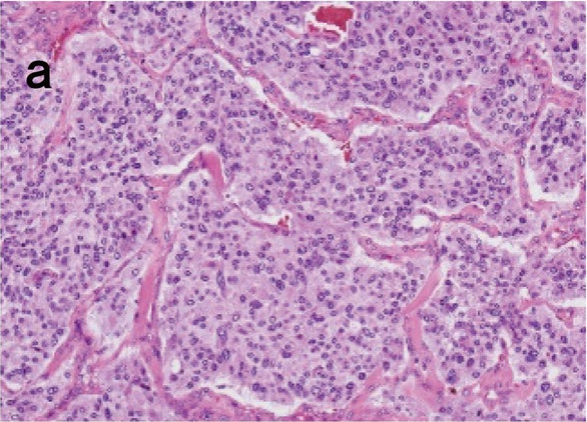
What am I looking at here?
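Sheets of fairly uniform tumor cells with round to oval, dark purple nuclei and pale pink cytoplasm are packed into large nests and cords. Thin pink fibrous bands, some carrying small vessels with red blood cells, run between and separate the cell groups. This is a tumor built of nests and cords delimited by connective tissue and vascular septations.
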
